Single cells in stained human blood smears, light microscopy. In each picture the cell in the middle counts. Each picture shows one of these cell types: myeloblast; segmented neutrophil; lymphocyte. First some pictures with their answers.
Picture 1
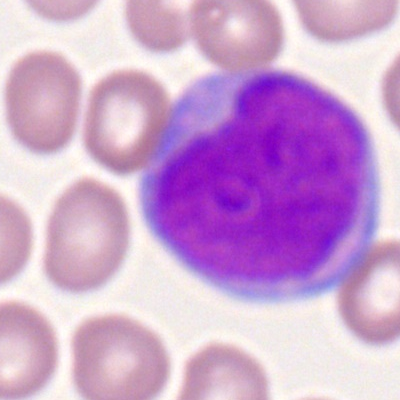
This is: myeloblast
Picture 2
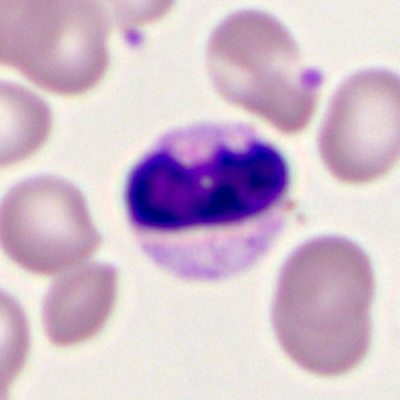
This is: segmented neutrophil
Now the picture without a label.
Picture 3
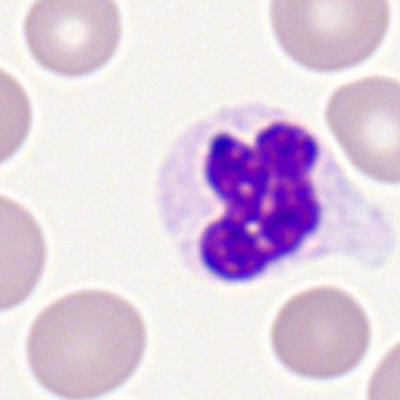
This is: segmented neutrophil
